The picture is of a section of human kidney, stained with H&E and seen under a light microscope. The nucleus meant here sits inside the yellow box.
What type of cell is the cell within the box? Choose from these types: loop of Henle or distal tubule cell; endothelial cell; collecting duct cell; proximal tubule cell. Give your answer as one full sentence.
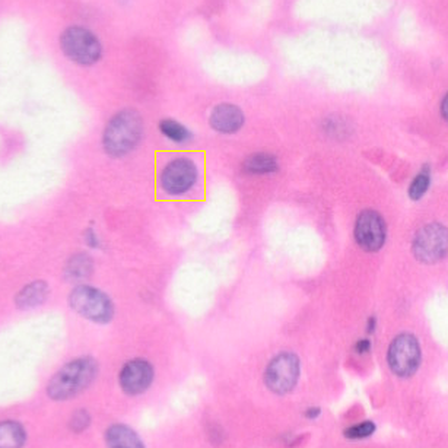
Recorded by type, the cell within the box is a proximal tubule cell.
